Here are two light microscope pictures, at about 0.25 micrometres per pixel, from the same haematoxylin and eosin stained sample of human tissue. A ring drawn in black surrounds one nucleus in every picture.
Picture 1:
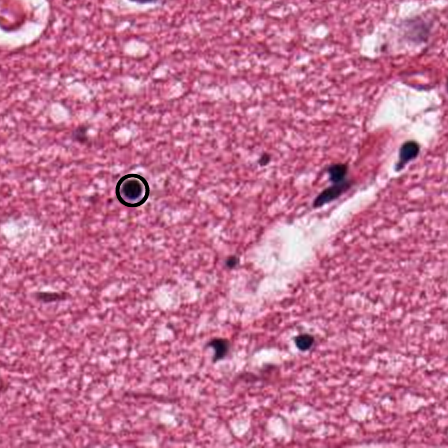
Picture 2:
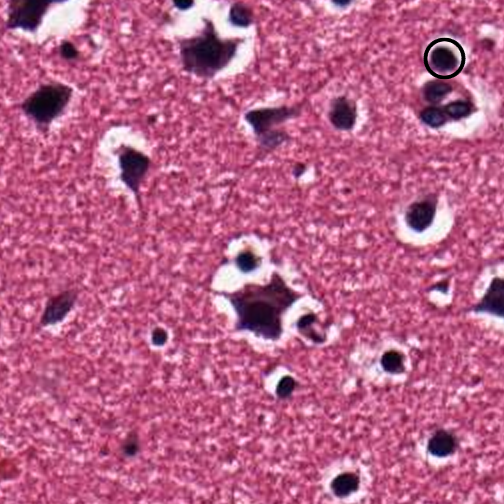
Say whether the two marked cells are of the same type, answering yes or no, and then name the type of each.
Yes, both are oligodendrocytes.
